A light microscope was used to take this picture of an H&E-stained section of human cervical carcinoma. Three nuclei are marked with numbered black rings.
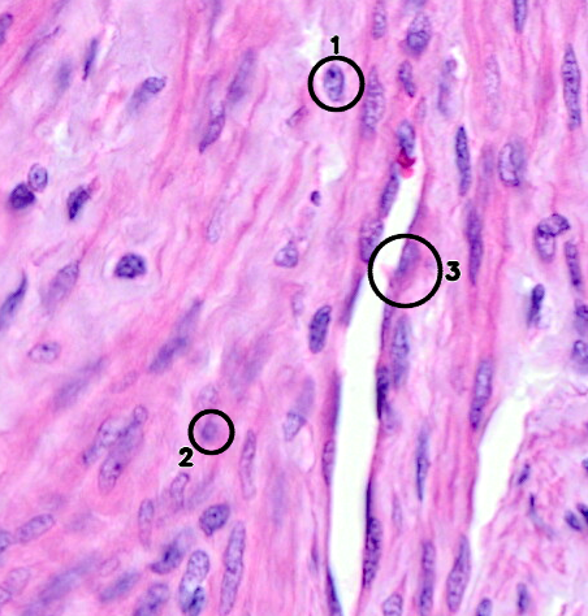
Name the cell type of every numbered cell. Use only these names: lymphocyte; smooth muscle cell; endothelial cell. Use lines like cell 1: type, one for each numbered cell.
cell 1: lymphocyte
cell 2: smooth muscle cell
cell 3: endothelial cell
